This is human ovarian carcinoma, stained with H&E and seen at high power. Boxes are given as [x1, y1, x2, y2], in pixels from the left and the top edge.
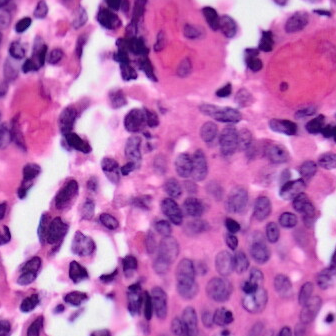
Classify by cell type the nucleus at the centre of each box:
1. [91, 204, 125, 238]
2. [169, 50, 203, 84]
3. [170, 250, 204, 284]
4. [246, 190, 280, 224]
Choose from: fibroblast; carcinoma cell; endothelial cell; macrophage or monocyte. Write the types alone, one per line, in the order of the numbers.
macrophage or monocyte
endothelial cell
carcinoma cell
carcinoma cell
